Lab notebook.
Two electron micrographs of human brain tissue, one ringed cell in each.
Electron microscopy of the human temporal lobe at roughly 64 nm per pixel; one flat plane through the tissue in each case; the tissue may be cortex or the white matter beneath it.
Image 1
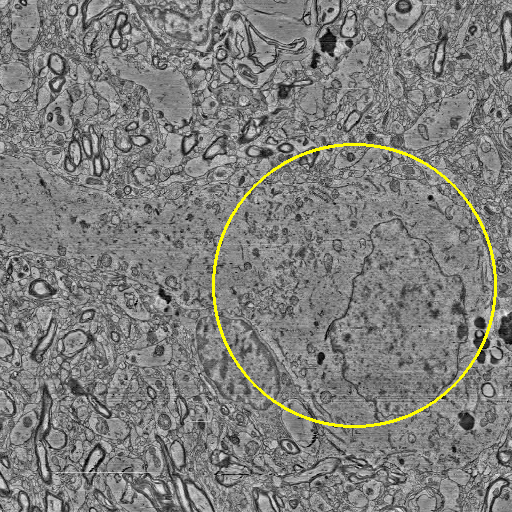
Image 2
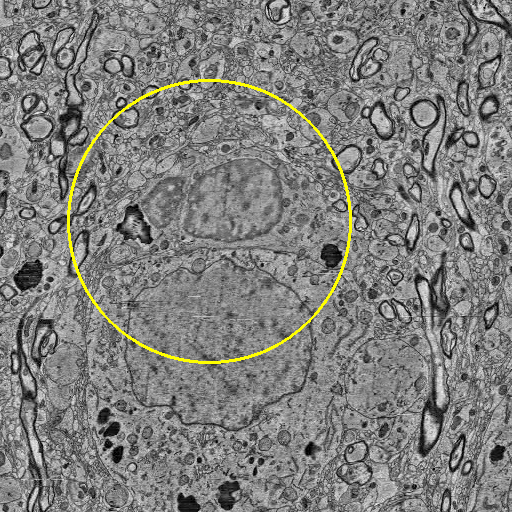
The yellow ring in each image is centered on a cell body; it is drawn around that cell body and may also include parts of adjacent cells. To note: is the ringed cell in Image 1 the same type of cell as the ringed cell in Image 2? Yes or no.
no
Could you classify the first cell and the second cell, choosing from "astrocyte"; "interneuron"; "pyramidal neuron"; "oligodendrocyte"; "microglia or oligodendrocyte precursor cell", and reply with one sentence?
The second cell is an oligodendrocyte, while the first is a pyramidal neuron.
